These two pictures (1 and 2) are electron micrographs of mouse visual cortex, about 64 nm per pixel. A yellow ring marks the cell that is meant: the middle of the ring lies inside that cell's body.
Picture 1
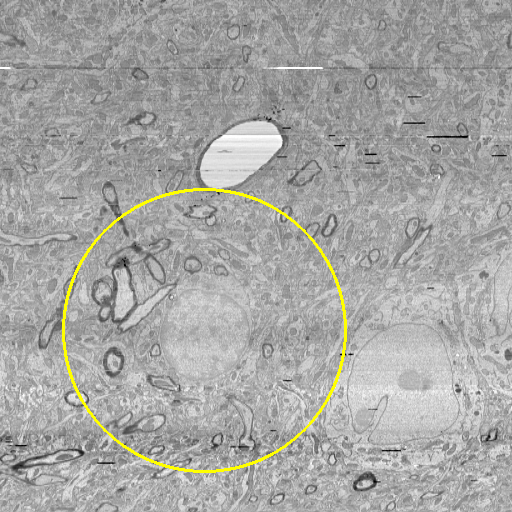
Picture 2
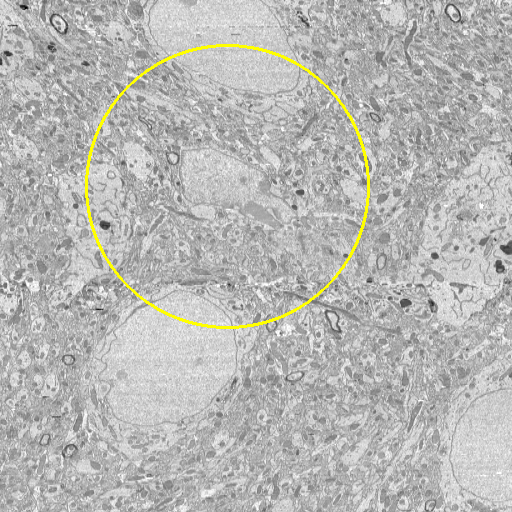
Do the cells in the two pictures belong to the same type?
No, they differ: the cell is an oligodendrocyte in picture 1 and an oligodendrocyte precursor cell in picture 2.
